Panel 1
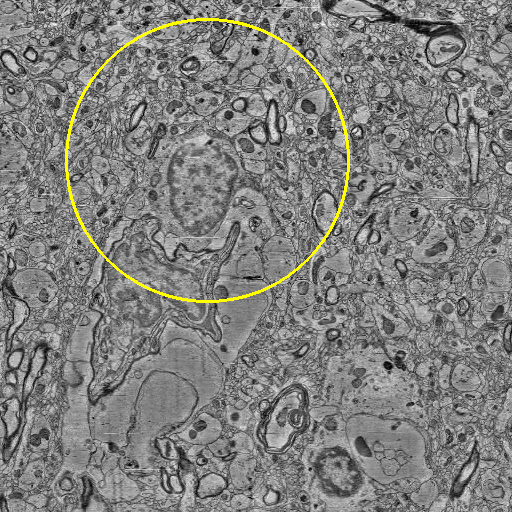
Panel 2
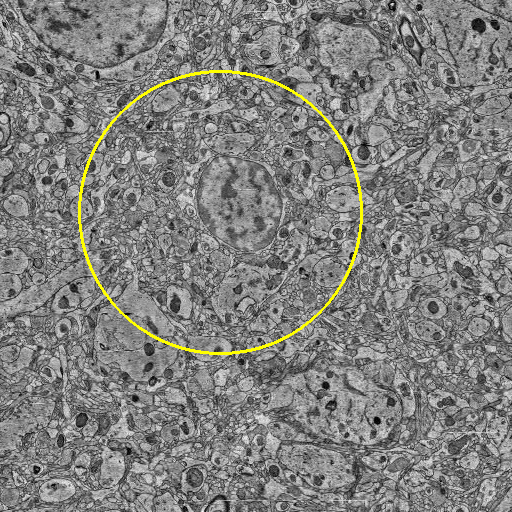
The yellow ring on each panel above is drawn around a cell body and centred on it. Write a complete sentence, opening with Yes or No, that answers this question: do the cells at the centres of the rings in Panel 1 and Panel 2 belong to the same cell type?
No, the two cells belong to two cell types.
